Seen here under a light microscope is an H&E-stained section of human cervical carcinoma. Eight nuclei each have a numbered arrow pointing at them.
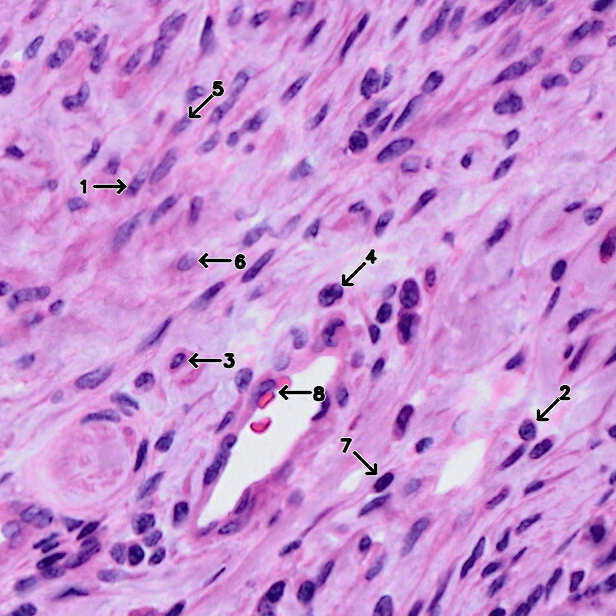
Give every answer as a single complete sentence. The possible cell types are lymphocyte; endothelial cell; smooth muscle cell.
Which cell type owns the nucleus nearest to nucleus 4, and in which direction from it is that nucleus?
It is an endothelial cell, whose nucleus lies below nucleus 4.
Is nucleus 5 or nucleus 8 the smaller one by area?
Nucleus 5 covers less area, with nucleus 8 about 2 times as large.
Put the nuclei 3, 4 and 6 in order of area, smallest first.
Smallest first, the nuclei run 3, 6, 4.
